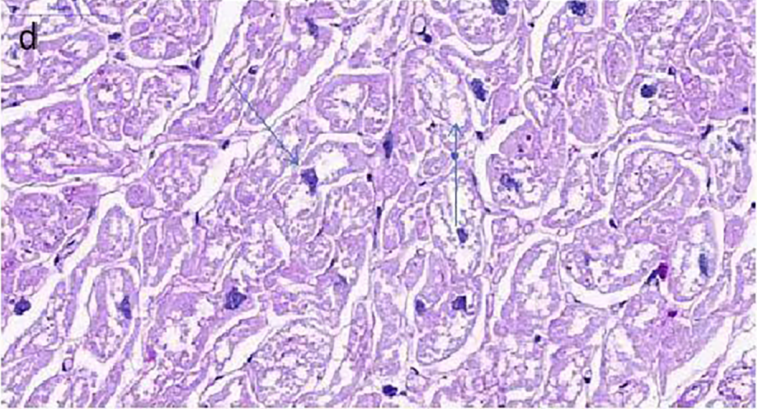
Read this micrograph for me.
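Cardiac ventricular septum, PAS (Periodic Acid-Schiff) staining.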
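This is heart muscle cut across, with the muscle cells showing as rounded to irregular profiles separated by thin clear gaps. Their cytoplasm is not evenly pink but pale and bubbly, with the pink-purple granular material clumped between many clear spaces. Dark purple nuclei, some large and irregular, sit within these cleared cells, and a few lie in the spaces between them.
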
